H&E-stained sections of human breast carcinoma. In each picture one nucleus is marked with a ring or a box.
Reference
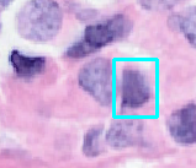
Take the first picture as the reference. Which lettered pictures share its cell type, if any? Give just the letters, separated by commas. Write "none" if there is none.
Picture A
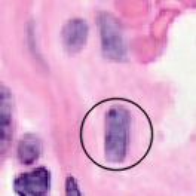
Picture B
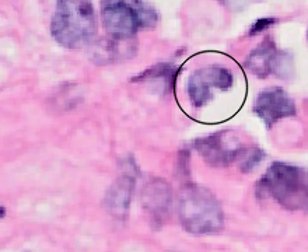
B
